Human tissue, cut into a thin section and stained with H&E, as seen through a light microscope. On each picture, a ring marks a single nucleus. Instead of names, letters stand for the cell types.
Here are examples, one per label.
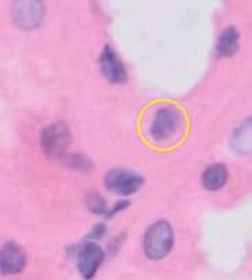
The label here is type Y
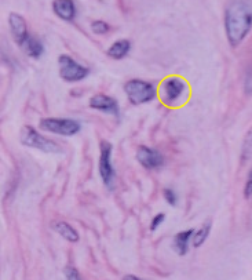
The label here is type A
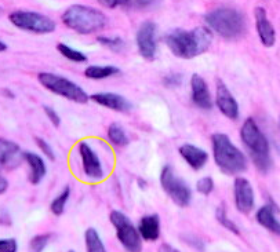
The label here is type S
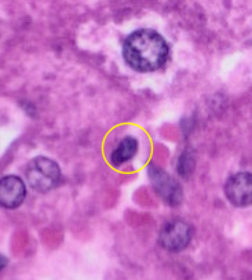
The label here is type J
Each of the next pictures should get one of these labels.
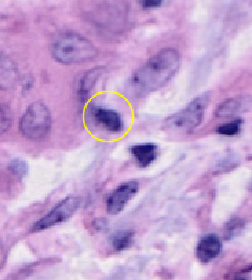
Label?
type J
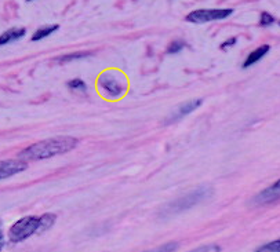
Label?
type A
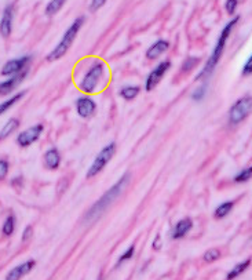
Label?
type A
